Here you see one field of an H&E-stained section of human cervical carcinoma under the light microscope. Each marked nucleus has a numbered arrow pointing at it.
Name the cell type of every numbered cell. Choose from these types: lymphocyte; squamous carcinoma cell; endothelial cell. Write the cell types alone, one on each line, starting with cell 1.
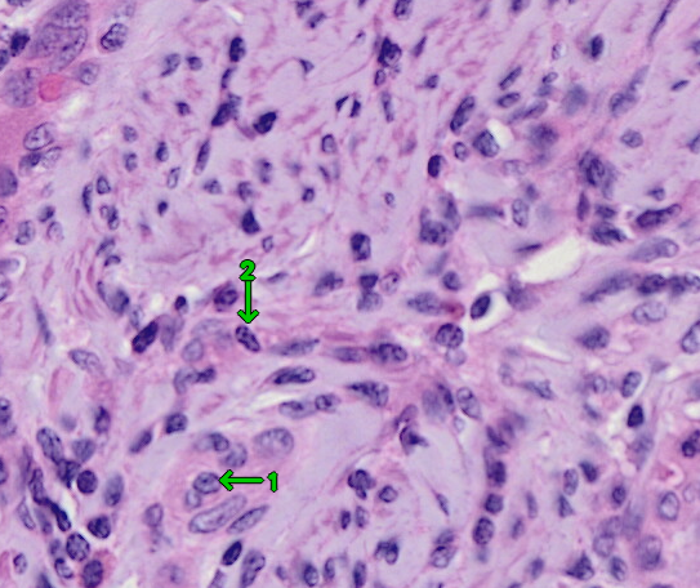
endothelial cell
lymphocyte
